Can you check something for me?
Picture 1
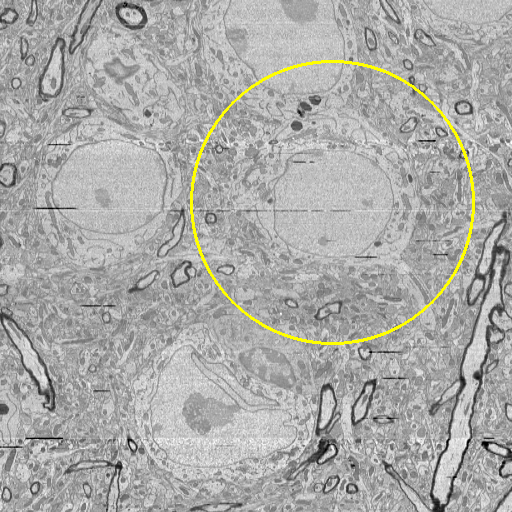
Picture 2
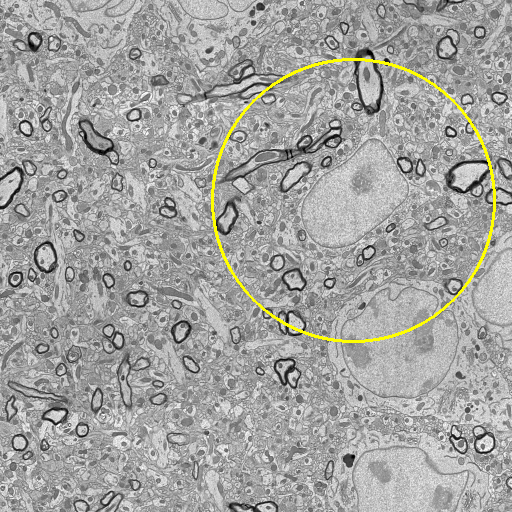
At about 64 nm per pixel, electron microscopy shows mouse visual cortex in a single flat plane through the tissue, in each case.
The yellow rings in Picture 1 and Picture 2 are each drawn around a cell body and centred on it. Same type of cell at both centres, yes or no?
no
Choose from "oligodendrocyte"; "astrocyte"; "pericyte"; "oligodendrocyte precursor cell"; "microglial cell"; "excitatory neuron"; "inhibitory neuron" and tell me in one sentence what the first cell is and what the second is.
What the first ring is centred on is an excitatory neuron; what the second ring is centred on is an astrocyte.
